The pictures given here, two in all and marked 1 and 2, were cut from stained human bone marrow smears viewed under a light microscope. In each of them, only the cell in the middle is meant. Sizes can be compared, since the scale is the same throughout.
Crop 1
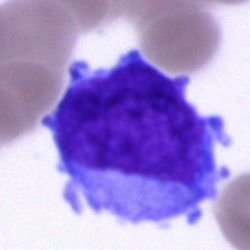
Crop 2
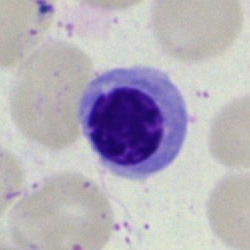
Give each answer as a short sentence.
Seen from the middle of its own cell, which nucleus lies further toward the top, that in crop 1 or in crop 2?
Seen within its cell, the nucleus in crop 1 lies further toward the top.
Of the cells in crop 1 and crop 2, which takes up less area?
Crop 2 holds the smaller cell, since the cell in crop 1 covers about 2.5 times as much area.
